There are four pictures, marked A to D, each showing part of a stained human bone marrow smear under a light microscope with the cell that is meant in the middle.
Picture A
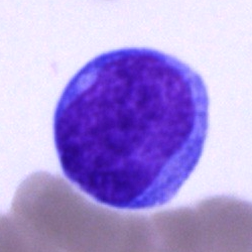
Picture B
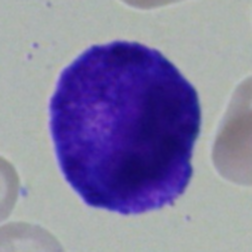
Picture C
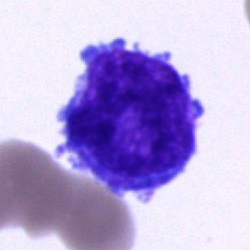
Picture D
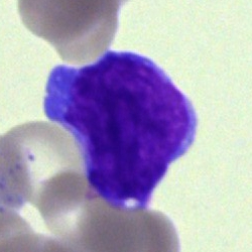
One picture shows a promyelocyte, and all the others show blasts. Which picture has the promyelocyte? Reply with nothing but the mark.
B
